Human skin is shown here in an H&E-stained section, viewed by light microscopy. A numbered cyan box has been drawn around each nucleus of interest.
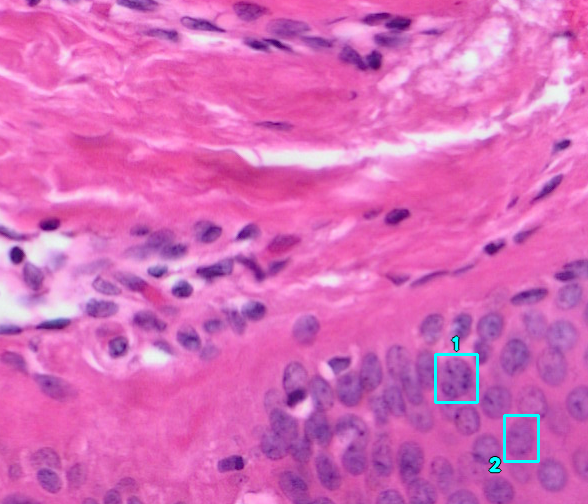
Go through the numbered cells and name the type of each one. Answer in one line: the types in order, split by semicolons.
basal keratinocyte; suprabasal keratinocyte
